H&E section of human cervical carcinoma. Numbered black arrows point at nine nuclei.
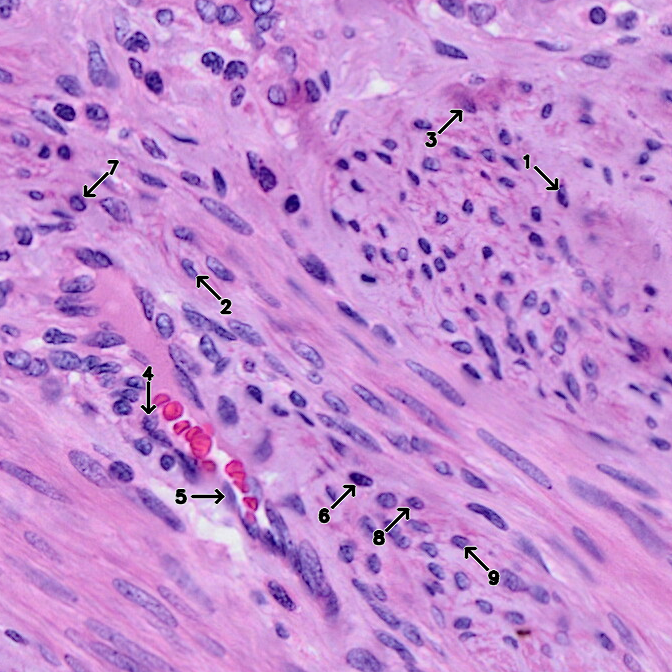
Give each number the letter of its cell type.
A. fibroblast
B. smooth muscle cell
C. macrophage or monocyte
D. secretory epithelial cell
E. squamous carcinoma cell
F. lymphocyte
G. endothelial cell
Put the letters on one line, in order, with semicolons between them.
A; B; B; G; G; F; B; B; B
